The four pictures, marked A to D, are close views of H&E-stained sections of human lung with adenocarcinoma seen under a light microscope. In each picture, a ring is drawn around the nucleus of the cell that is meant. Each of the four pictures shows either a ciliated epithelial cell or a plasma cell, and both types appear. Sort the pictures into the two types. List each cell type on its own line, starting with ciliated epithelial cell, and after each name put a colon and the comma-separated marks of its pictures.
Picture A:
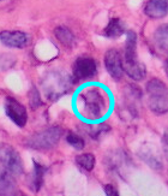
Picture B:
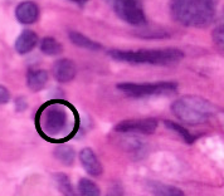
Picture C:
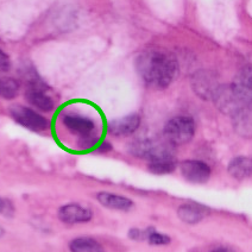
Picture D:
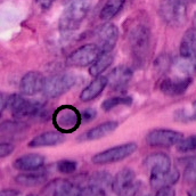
ciliated epithelial cell: A, C, D
plasma cell: B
